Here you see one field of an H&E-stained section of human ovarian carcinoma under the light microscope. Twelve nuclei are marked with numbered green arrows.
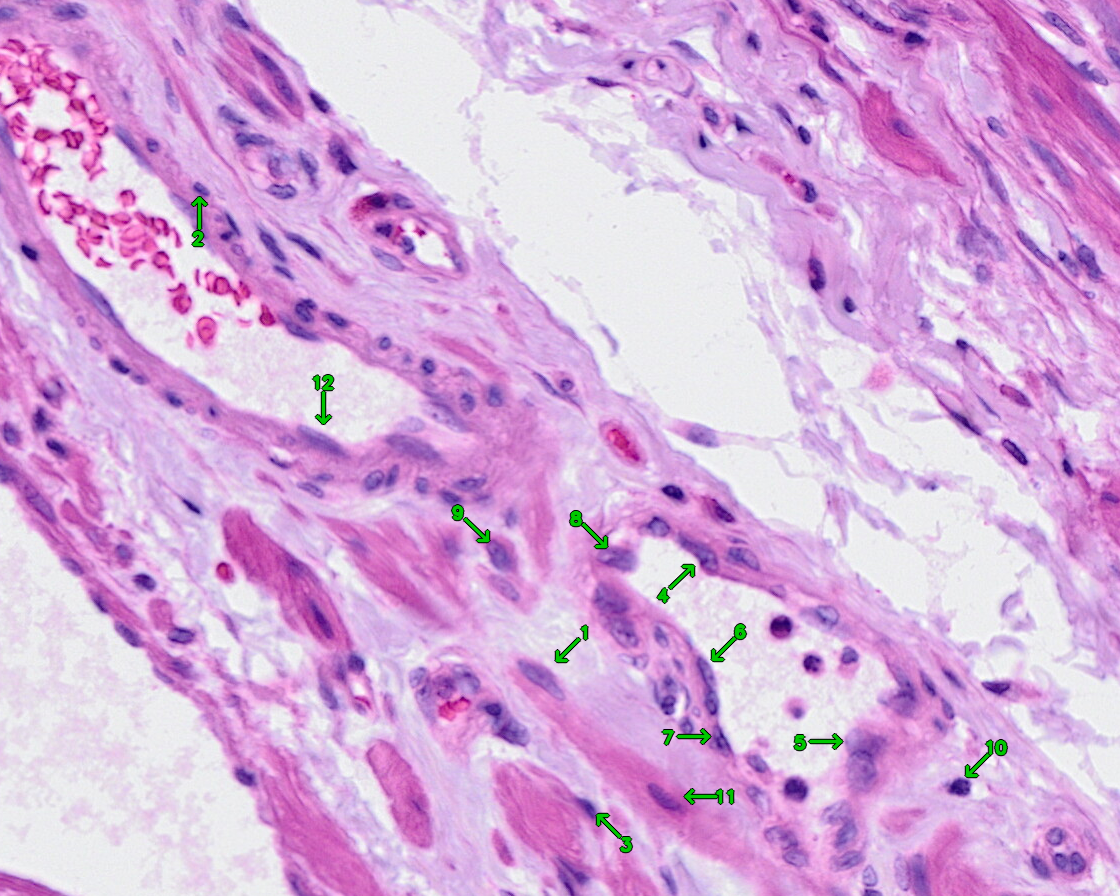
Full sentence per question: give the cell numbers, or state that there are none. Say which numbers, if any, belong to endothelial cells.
The cells carrying the numbers 4, 5, 6, 7, 8 and 12 are endothelial cells.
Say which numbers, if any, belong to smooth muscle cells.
The cells that the numbers 1, 2, 3, 9 and 11 belong to are smooth muscle cells.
